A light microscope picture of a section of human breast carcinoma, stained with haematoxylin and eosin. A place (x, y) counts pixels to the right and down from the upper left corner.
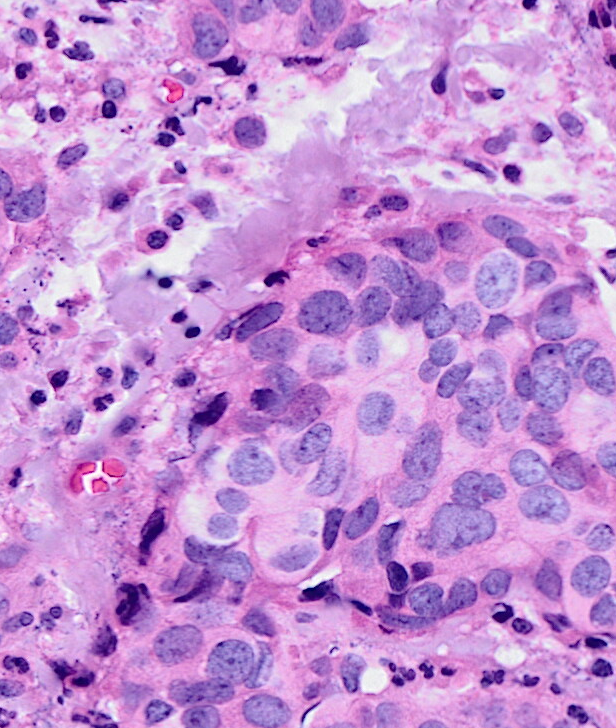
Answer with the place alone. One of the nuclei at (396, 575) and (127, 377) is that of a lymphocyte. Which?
(127, 377)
